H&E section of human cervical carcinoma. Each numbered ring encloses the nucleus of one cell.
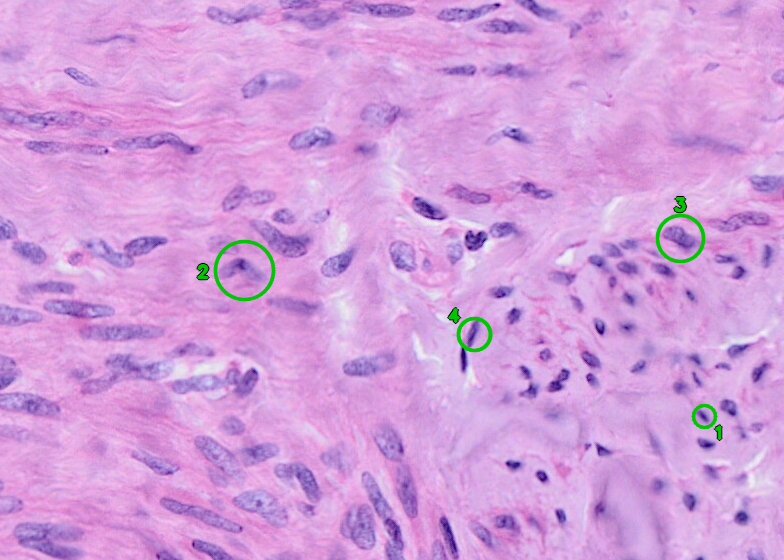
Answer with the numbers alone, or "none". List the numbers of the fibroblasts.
1, 2, 4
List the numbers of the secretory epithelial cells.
none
